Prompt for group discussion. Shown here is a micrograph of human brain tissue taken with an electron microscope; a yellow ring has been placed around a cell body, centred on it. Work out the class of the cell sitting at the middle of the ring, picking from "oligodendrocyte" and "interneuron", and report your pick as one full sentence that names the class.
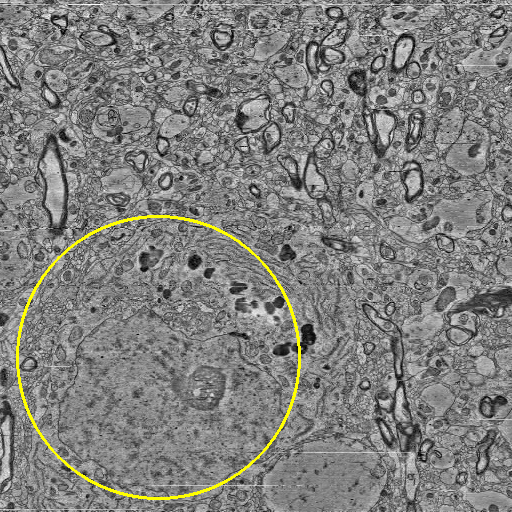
The cell sitting at the middle of the yellow ring is an interneuron.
